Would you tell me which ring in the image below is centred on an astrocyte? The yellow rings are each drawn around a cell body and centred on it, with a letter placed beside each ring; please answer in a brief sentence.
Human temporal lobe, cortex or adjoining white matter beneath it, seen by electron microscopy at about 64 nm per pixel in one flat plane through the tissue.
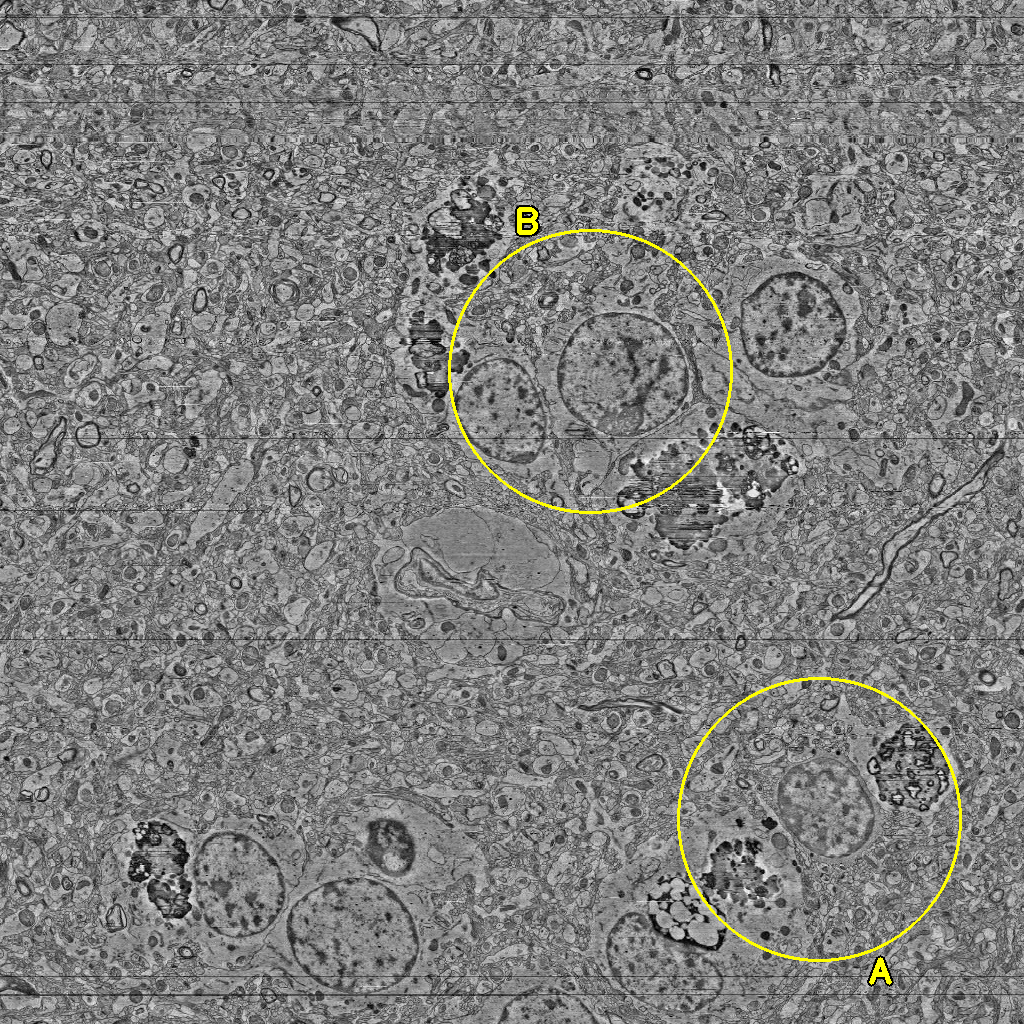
Ring B is centred on it.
